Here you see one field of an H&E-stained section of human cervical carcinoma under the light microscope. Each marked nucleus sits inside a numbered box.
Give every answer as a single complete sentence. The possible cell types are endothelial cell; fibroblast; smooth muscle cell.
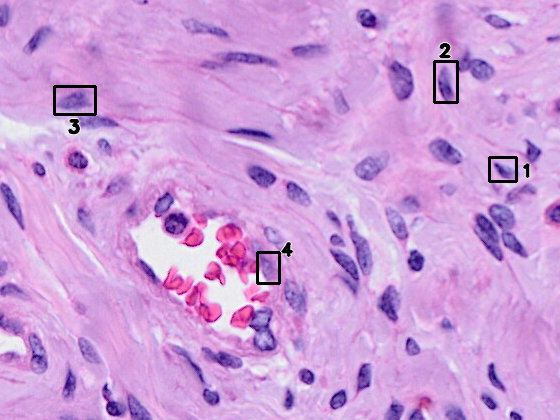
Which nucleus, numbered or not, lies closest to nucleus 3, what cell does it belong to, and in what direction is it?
It is a fibroblast, whose nucleus lies below and to the right of nucleus 3.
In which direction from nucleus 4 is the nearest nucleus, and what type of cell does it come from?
The nearest nucleus is that of an endothelial cell and lies above and to the left of nucleus 4.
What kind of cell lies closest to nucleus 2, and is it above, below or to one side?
The closest nucleus belongs to a fibroblast and sits above and to the right of nucleus 2.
